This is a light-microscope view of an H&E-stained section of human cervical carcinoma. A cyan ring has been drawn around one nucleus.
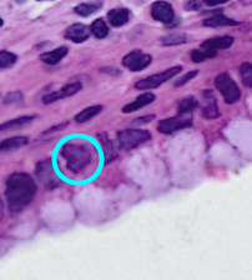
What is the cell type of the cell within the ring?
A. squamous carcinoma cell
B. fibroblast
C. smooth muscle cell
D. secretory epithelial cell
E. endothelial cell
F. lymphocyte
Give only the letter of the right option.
D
